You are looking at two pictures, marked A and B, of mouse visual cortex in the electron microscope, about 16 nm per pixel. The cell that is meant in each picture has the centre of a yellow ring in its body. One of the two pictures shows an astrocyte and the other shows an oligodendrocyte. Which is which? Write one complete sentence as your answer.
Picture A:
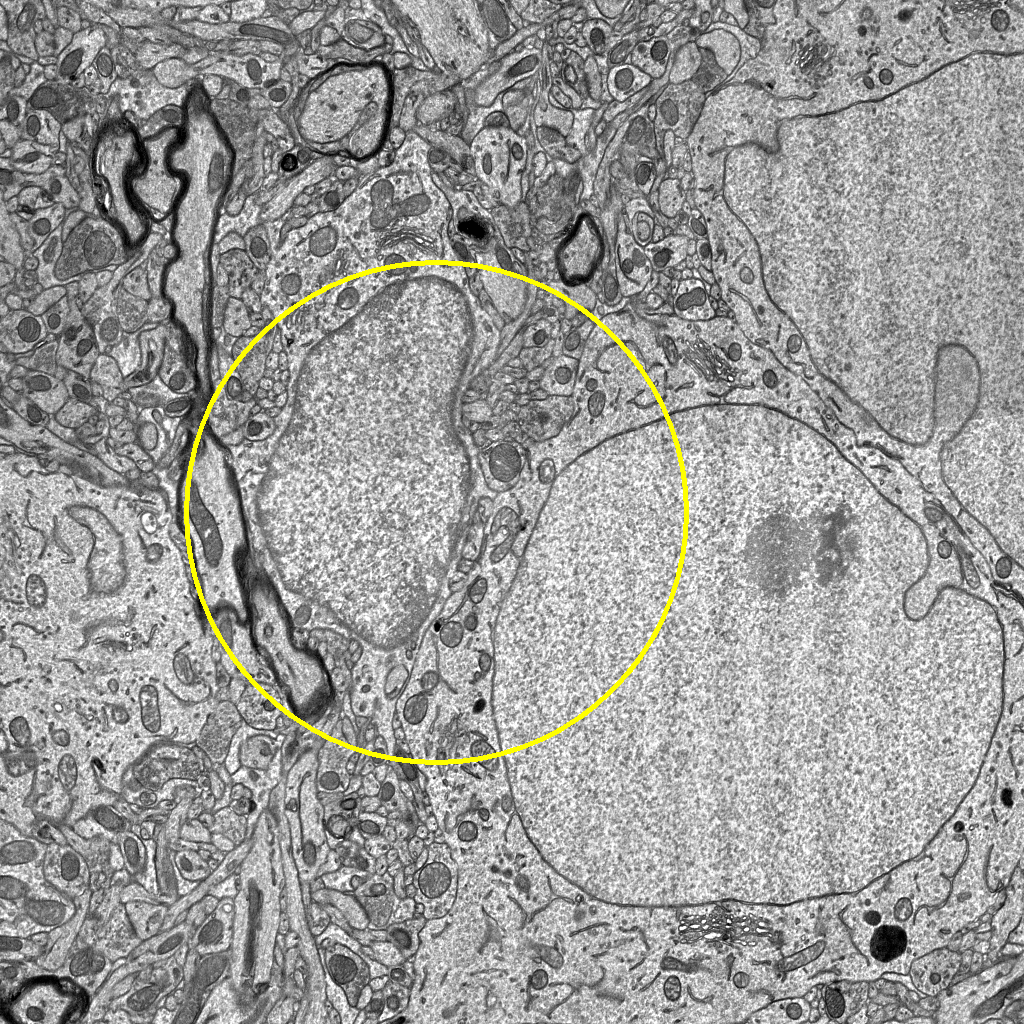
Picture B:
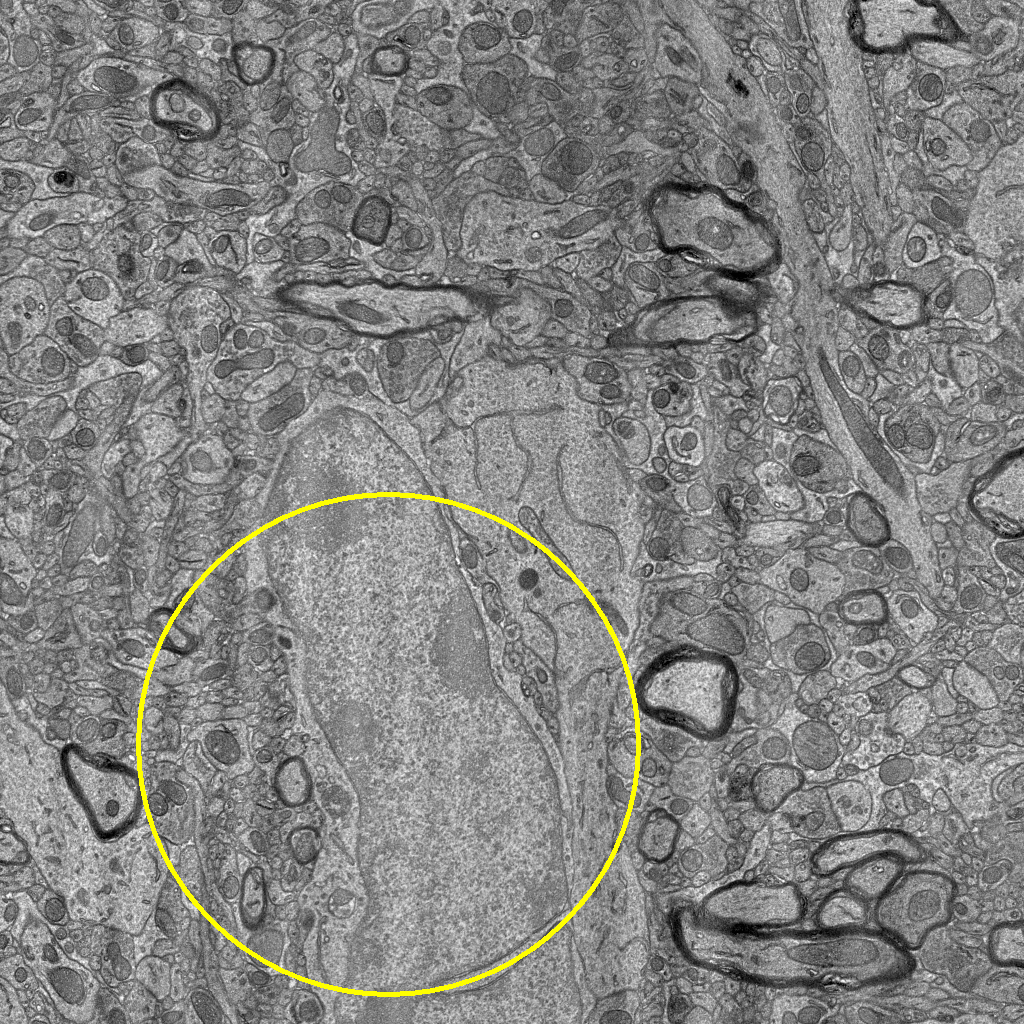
Picture B shows an oligodendrocyte, while picture A shows an astrocyte.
